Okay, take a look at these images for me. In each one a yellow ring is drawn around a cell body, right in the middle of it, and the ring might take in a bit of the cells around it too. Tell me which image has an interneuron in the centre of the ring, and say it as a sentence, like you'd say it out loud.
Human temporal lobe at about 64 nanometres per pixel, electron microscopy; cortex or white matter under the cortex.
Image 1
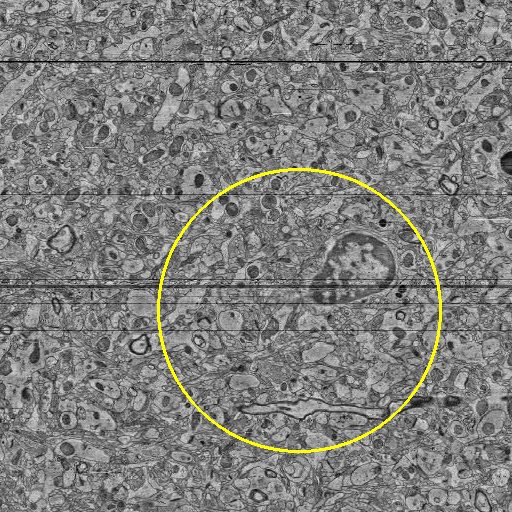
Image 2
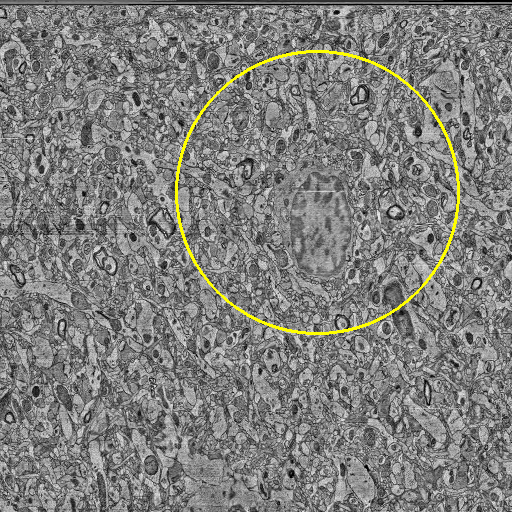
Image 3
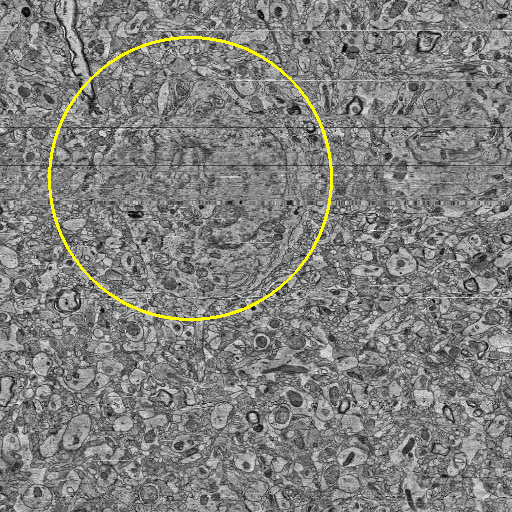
Image 3 is the one with it in the centre of the ring.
